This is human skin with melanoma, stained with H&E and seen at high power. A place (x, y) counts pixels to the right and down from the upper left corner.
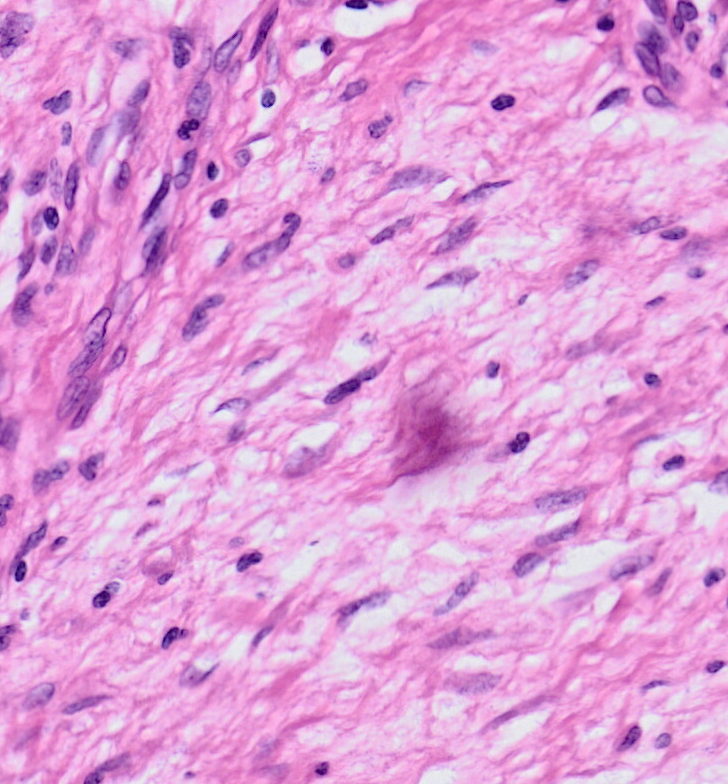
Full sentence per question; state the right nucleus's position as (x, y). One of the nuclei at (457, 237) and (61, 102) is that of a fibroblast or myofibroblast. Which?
The nucleus of a fibroblast or myofibroblast is the one found at (457, 237), not the other.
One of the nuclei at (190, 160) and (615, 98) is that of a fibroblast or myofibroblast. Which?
At (615, 98) lies the nucleus that belongs to a fibroblast or myofibroblast.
